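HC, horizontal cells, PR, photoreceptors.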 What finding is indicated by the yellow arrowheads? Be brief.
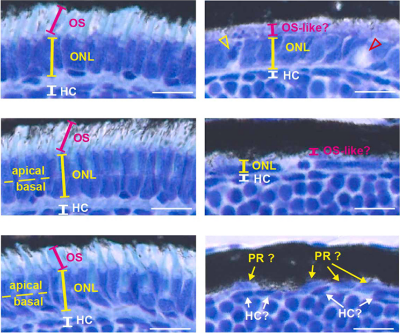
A: Dense nuclear granules.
